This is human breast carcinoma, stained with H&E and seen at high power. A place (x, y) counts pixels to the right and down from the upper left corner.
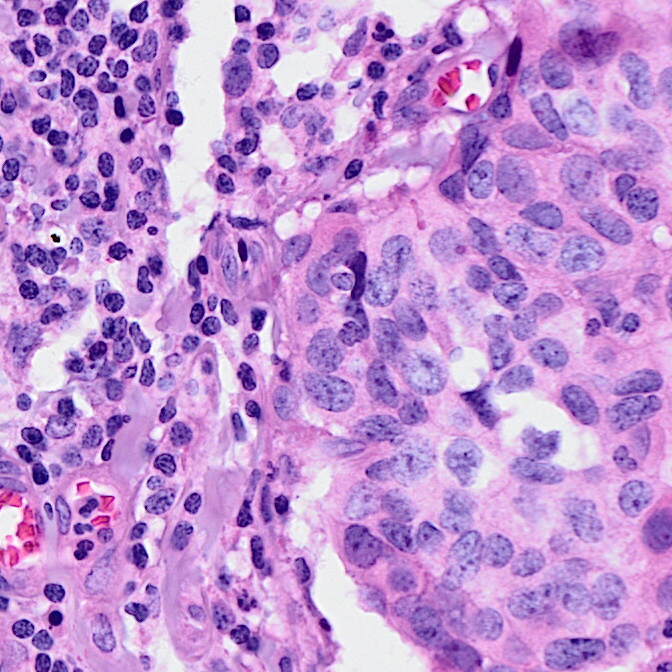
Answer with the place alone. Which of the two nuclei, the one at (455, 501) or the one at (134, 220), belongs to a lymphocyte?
(134, 220)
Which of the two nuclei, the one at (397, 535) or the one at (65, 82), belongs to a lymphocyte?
(65, 82)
